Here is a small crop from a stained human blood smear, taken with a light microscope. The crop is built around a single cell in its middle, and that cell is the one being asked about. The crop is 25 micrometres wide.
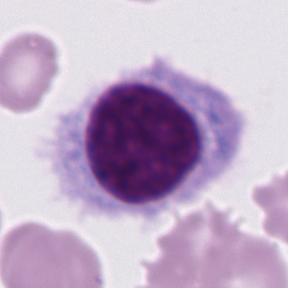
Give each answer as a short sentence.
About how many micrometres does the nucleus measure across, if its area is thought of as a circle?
The nucleus is about 10 micrometres across.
